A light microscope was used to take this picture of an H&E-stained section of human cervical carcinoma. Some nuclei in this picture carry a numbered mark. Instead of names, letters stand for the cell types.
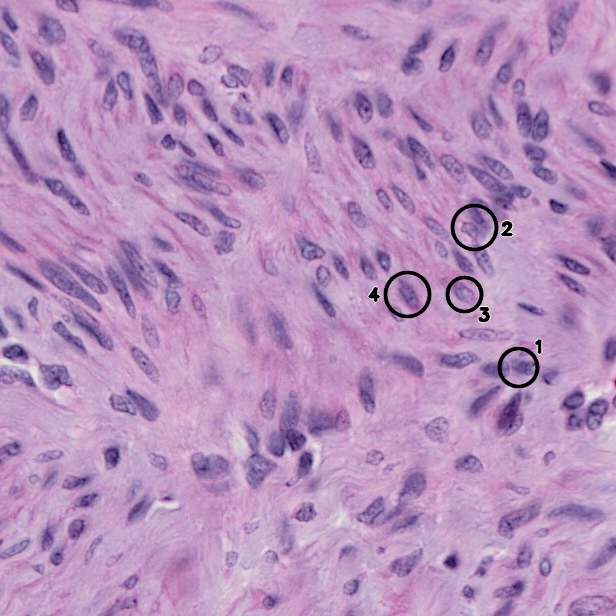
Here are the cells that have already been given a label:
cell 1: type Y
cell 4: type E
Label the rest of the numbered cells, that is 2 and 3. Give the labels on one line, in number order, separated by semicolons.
type E; type E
